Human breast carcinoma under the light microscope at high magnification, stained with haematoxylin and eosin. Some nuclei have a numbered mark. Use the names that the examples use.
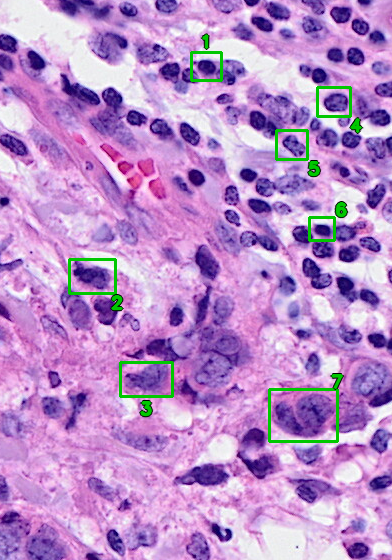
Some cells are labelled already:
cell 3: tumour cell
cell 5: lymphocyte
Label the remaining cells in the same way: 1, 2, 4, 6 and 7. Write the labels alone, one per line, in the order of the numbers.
lymphocyte
tumour cell
lymphocyte
lymphocyte
tumour cell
